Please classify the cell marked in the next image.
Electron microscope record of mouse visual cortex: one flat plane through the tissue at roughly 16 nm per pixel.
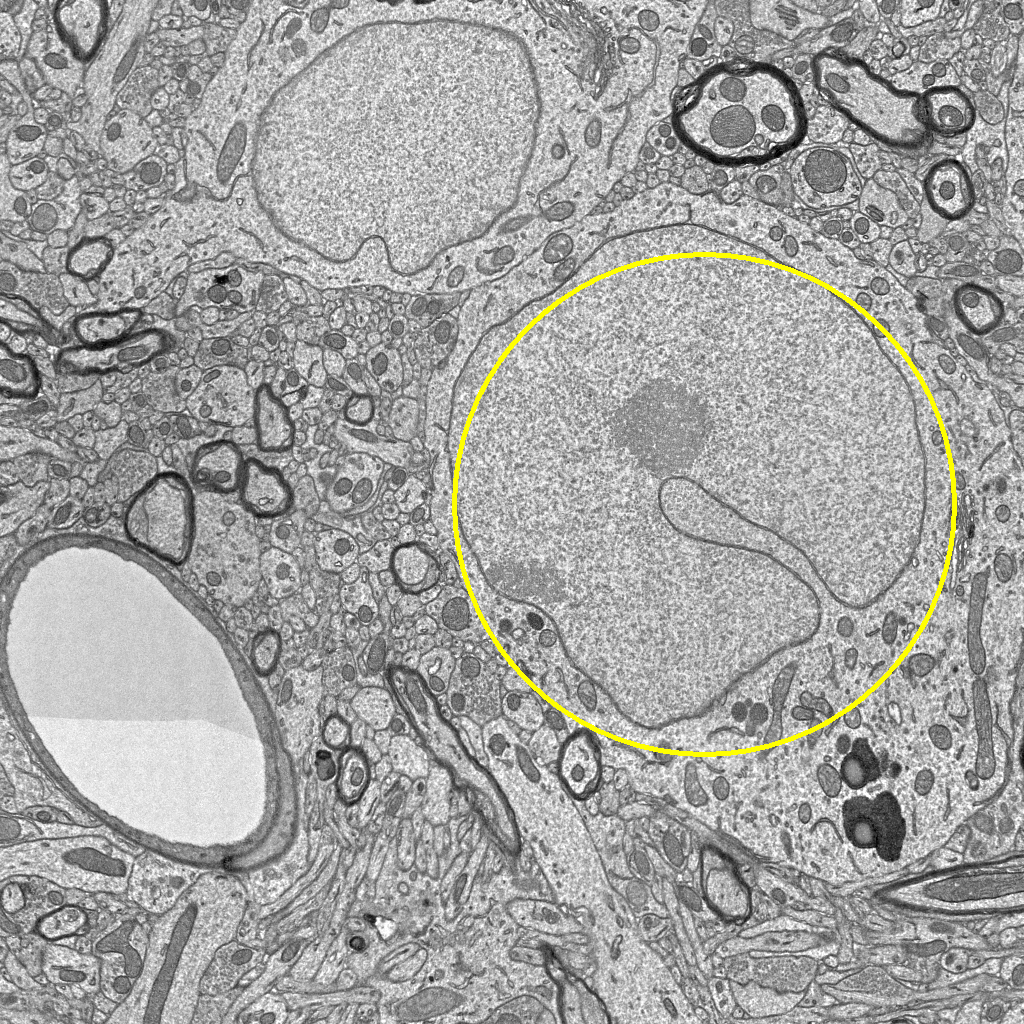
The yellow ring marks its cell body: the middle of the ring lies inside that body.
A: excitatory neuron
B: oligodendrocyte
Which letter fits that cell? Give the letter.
A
